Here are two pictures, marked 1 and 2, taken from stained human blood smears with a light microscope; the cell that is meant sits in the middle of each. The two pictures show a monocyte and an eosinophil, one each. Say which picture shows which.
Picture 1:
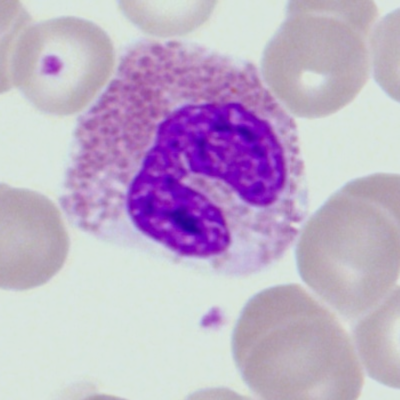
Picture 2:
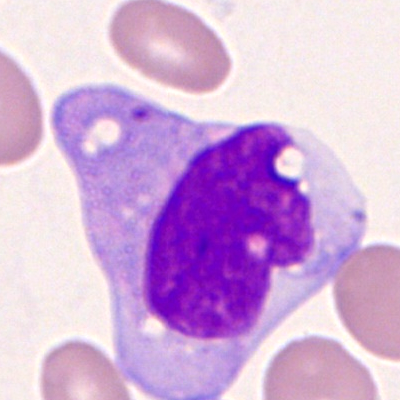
1: eosinophil
2: monocyte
